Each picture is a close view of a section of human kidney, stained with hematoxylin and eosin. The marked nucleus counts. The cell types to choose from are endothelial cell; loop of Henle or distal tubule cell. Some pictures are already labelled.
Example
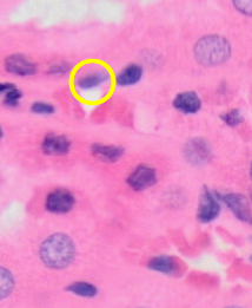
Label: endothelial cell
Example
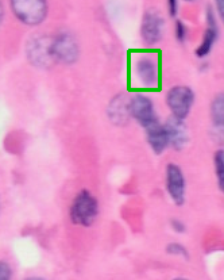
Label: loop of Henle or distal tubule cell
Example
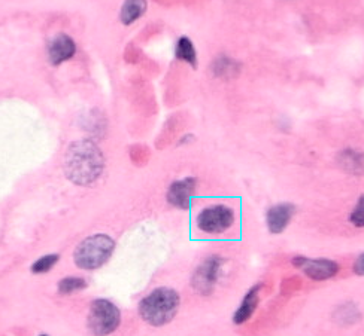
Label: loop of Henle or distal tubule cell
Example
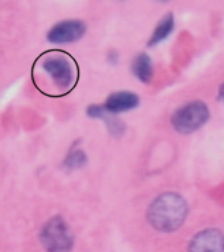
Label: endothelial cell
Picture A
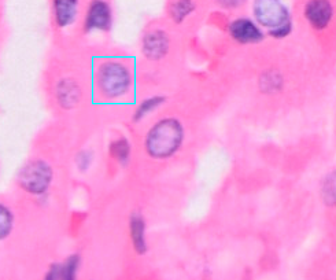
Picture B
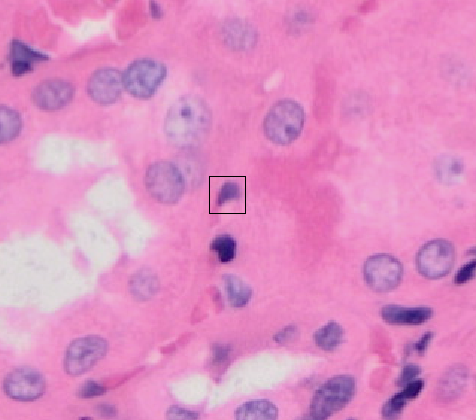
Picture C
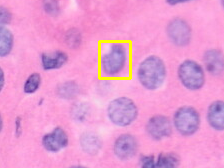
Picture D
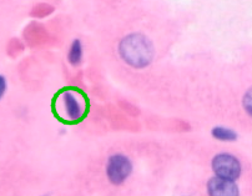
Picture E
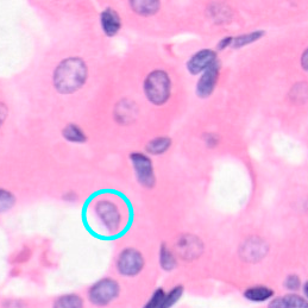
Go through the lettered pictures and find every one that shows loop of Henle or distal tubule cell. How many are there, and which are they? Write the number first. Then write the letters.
3, namely A, C, E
